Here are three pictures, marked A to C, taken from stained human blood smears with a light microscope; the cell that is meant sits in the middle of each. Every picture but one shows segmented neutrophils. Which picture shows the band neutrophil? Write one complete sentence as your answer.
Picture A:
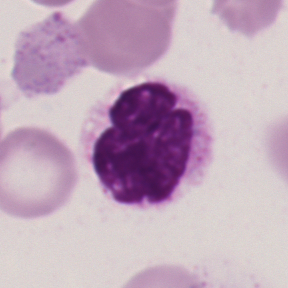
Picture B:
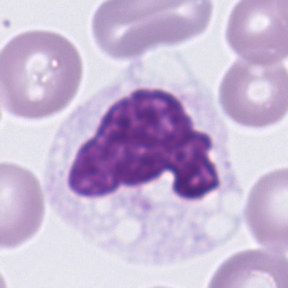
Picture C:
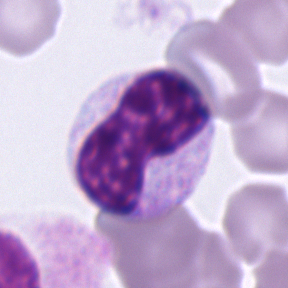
The picture with the band neutrophil is C.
